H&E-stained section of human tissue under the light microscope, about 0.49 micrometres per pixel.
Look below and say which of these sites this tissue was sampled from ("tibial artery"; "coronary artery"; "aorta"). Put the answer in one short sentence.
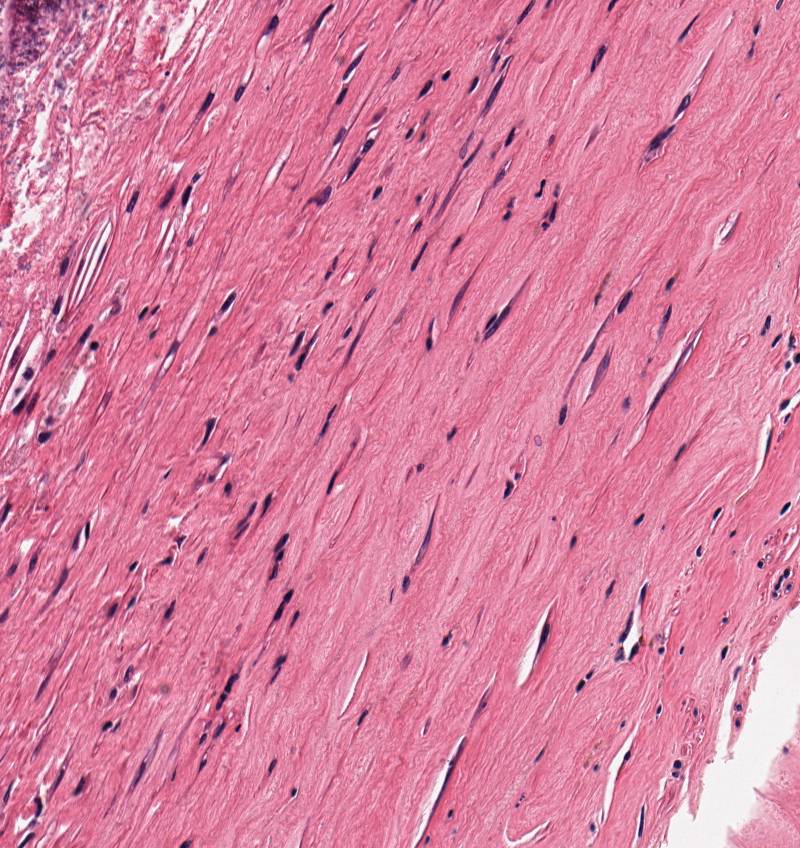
The site this tissue was sampled from is the aorta.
